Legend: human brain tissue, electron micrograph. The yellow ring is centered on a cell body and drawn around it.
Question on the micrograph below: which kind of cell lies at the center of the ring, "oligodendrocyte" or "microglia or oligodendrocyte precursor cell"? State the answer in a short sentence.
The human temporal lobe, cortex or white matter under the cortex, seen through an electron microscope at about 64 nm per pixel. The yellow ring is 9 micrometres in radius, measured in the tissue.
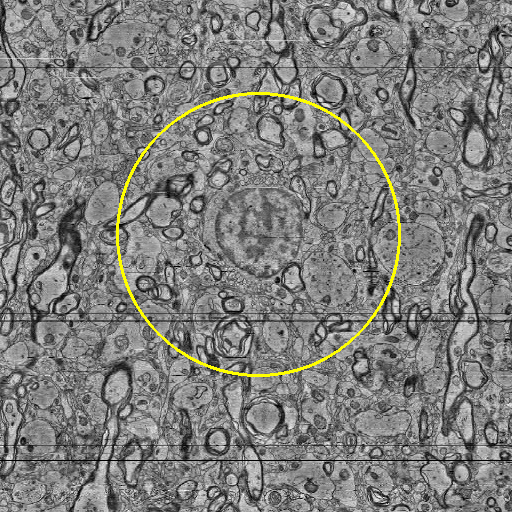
At the center of the ring lies an oligodendrocyte.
